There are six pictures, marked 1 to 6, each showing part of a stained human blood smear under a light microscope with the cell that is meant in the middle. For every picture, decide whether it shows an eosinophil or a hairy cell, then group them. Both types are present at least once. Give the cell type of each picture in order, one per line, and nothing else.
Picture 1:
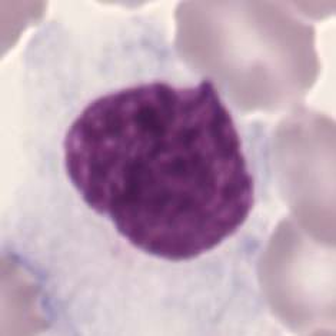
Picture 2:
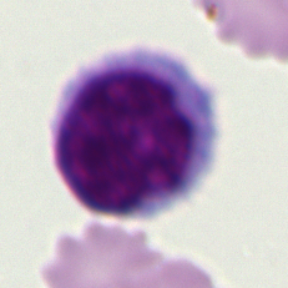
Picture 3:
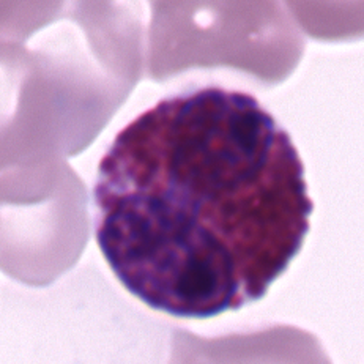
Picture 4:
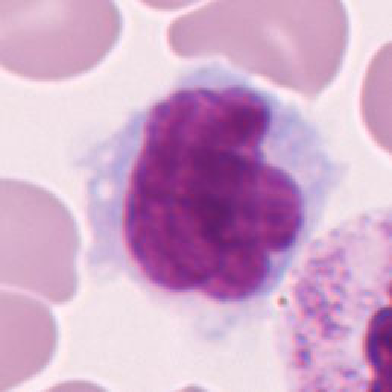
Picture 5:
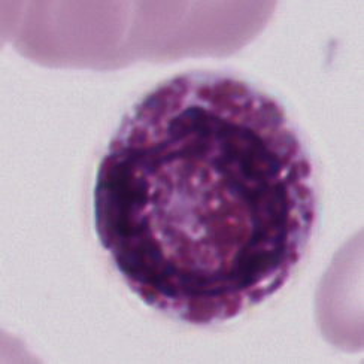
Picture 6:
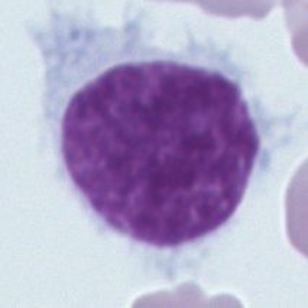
hairy cell
hairy cell
eosinophil
hairy cell
eosinophil
hairy cell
